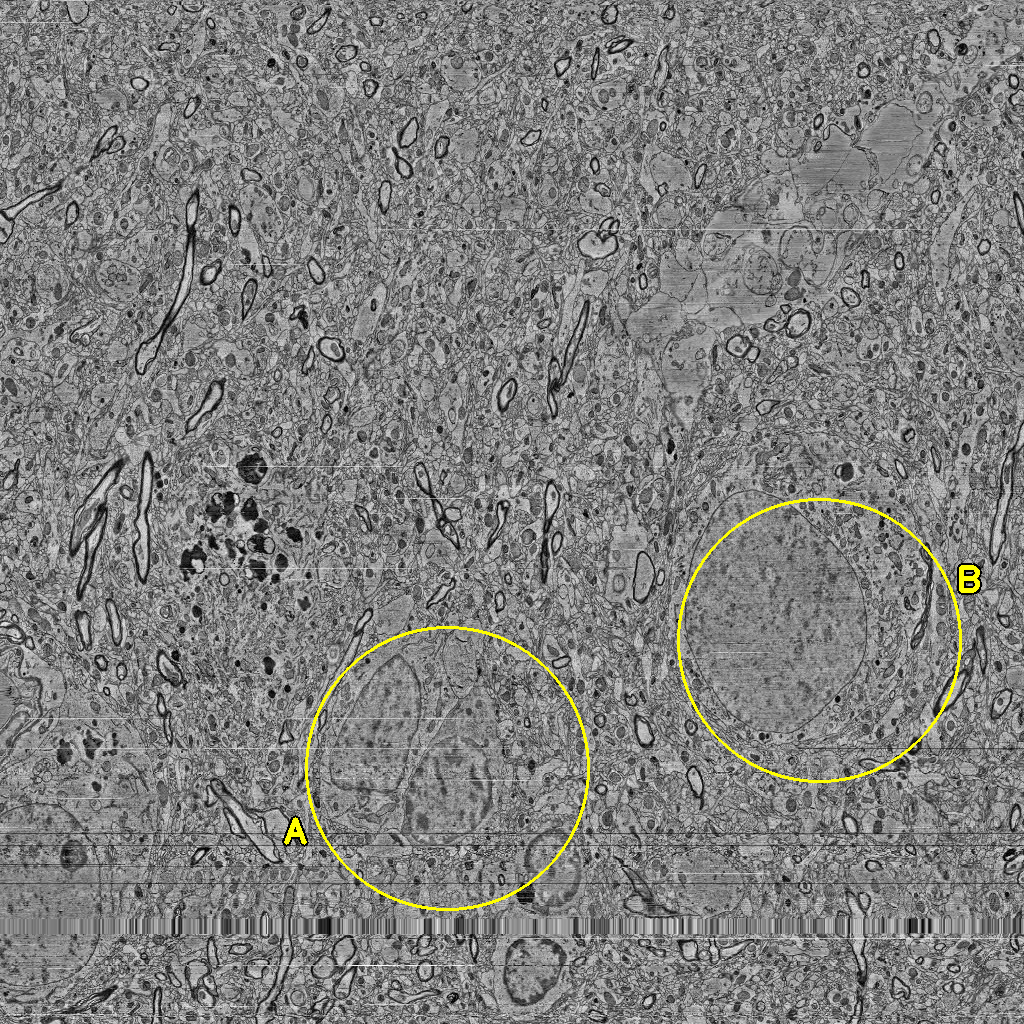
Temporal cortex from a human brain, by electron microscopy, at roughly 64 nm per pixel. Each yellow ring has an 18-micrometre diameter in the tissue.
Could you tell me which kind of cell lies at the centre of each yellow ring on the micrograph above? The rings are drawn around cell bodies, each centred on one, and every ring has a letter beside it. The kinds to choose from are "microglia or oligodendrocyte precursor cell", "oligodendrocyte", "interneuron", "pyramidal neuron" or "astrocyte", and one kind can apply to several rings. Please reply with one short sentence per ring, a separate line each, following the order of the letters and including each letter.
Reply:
Ring A circles an oligodendrocyte.
Ring B circles a pyramidal neuron.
